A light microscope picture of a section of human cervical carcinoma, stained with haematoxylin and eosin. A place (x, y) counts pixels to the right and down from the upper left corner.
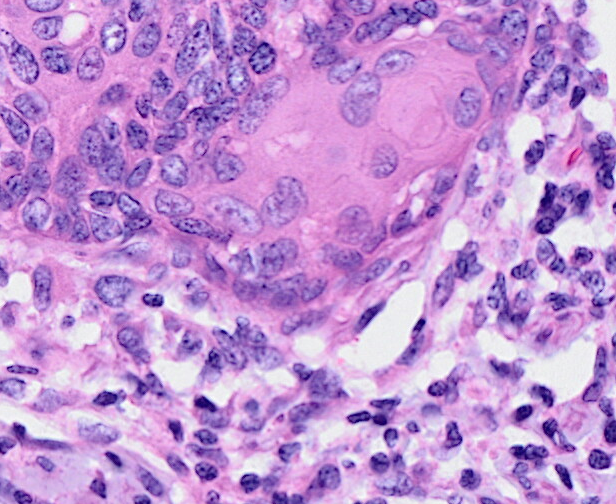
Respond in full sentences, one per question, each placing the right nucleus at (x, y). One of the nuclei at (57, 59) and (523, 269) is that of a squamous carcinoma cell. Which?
The nucleus at (57, 59) is part of a squamous carcinoma cell, while the other is not.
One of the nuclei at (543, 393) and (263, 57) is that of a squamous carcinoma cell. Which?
Out of the two, it is the nucleus at (263, 57) that belongs to a squamous carcinoma cell.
